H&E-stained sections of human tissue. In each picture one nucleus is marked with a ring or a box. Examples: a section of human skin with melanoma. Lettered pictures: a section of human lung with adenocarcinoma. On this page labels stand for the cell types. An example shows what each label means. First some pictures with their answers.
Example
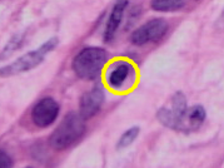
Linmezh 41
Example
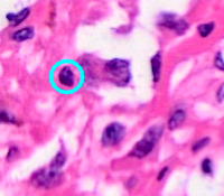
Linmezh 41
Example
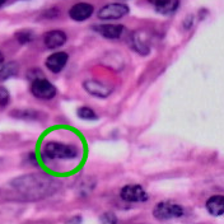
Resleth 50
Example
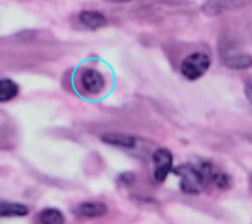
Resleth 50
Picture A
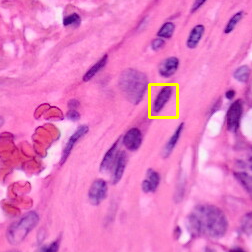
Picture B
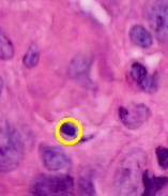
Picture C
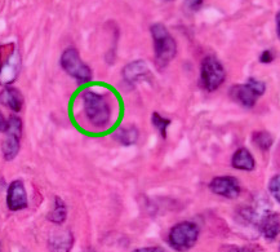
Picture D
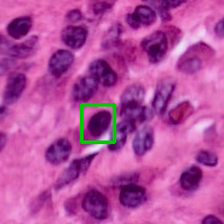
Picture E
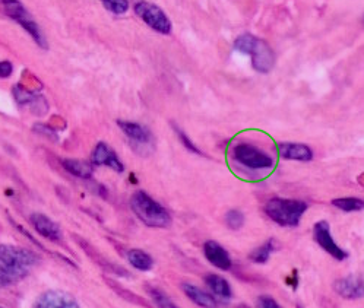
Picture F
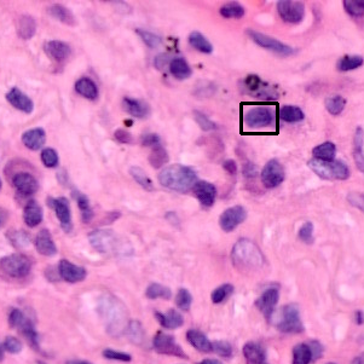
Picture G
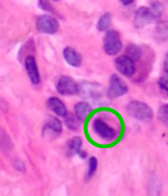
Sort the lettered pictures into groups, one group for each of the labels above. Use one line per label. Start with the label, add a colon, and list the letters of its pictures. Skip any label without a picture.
Linmezh 41: B, F
Resleth 50: A, C, D, E, G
